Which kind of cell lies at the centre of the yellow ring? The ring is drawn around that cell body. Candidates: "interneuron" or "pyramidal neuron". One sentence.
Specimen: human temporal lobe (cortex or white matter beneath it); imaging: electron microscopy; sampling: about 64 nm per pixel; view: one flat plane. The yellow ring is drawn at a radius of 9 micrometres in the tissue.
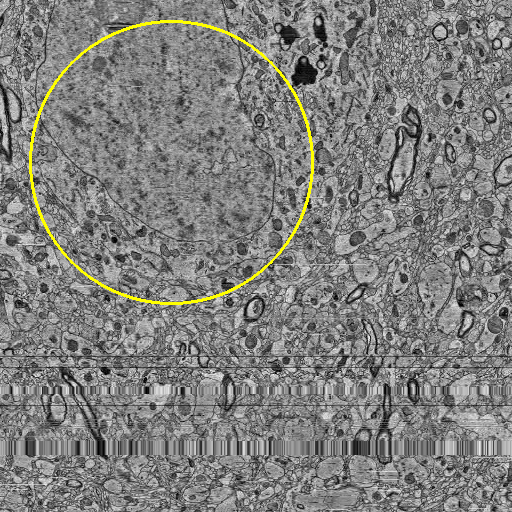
Lying at the centre of the ring is a pyramidal neuron.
